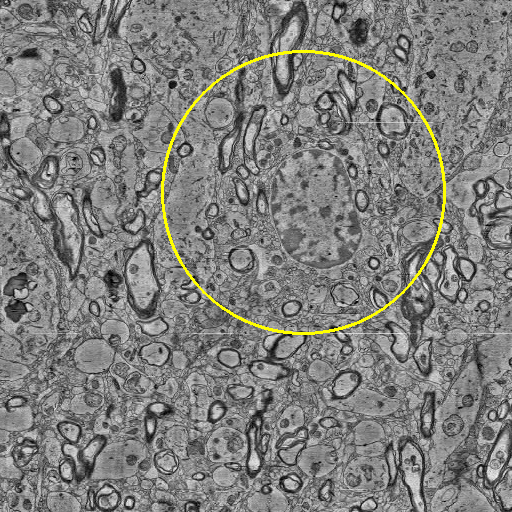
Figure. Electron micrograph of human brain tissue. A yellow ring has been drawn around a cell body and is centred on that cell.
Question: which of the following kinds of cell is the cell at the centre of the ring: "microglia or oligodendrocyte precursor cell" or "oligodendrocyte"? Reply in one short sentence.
The cell at the centre of the ring is a microglial cell or oligodendrocyte precursor cell.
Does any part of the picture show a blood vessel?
No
